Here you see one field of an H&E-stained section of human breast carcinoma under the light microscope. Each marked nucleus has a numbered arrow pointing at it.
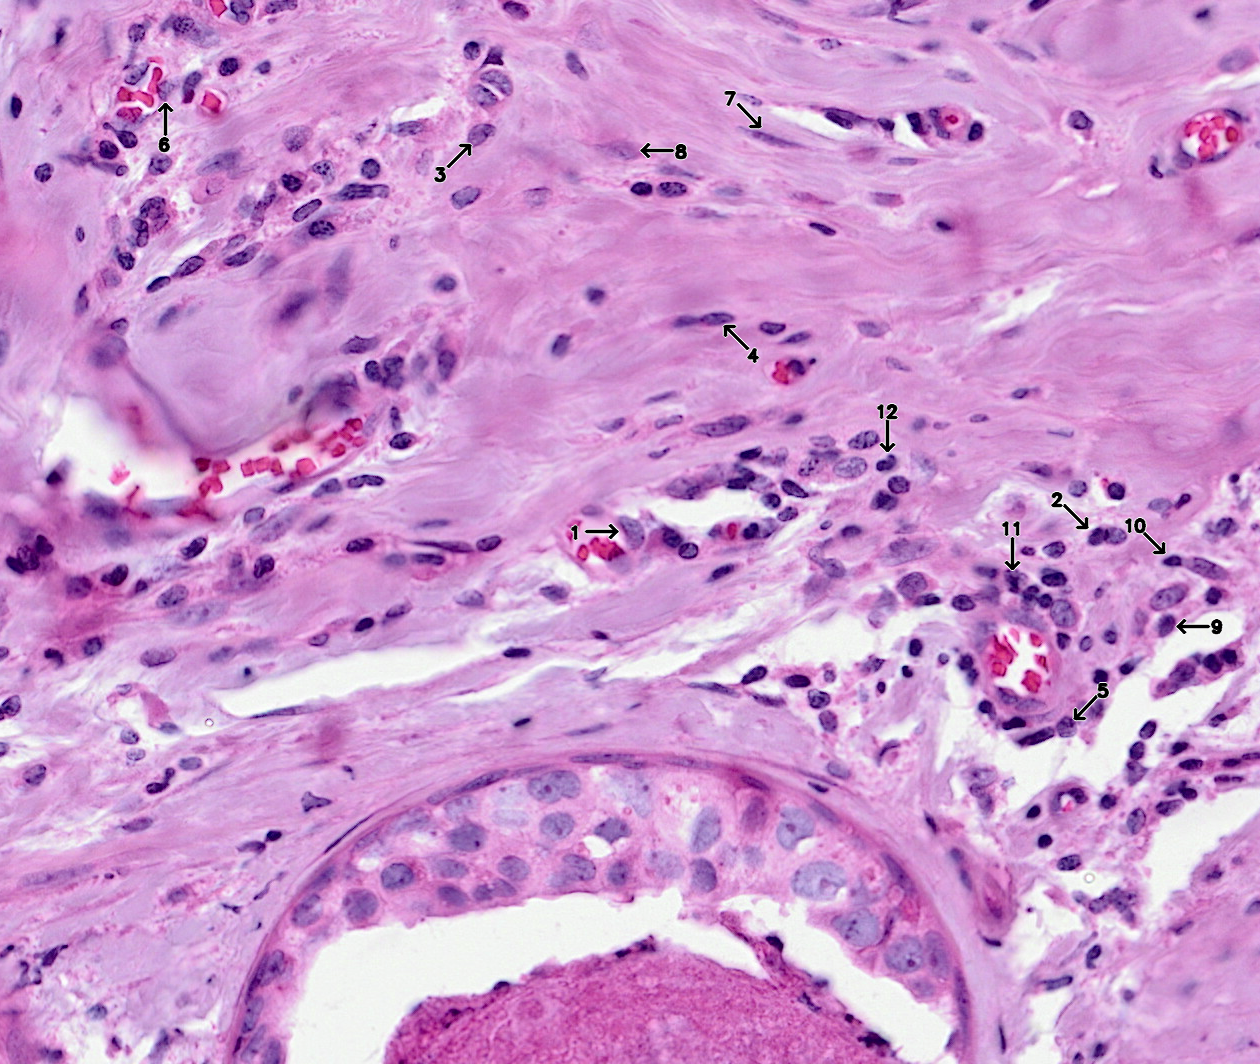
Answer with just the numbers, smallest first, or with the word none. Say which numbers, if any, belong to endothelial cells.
1, 6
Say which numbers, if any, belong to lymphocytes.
2, 4, 5, 9, 10, 11, 12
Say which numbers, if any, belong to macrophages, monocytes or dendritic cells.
3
